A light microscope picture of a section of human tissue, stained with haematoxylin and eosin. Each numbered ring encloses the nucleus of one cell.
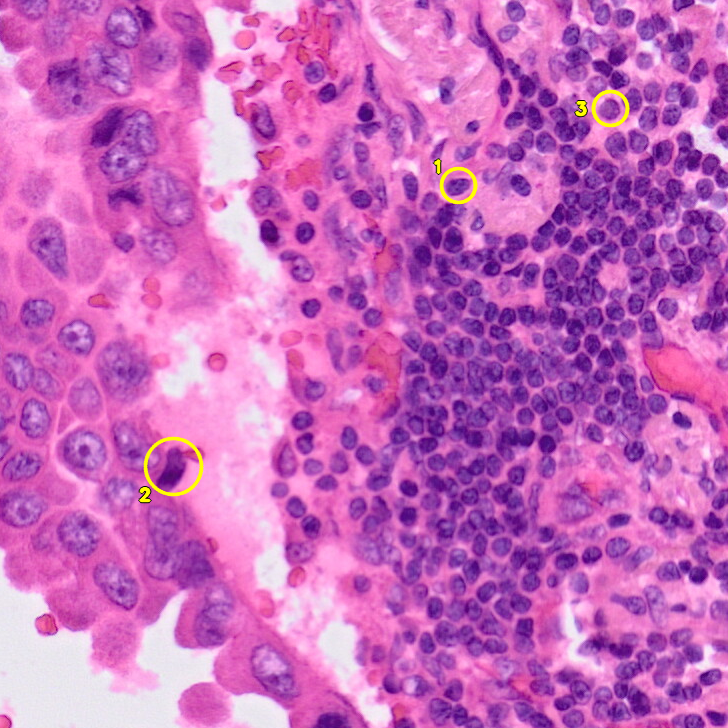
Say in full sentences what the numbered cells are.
Cells 1 and 3 are lymphocytes. Cell 2 is a carcinoma cell.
